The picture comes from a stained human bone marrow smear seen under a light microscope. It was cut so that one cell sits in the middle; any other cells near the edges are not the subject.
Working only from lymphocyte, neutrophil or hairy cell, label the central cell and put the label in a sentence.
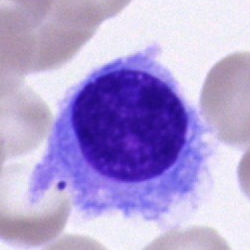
The cell sitting right in the middle is a hairy cell.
